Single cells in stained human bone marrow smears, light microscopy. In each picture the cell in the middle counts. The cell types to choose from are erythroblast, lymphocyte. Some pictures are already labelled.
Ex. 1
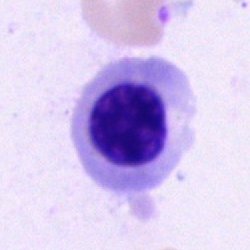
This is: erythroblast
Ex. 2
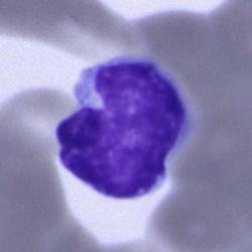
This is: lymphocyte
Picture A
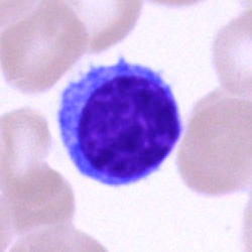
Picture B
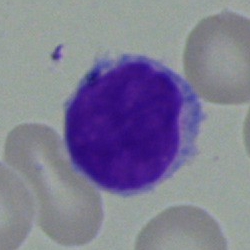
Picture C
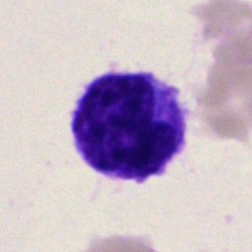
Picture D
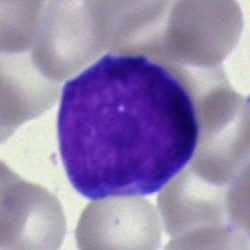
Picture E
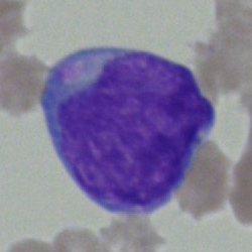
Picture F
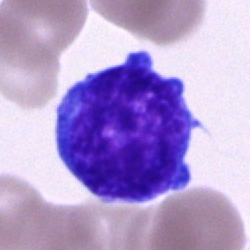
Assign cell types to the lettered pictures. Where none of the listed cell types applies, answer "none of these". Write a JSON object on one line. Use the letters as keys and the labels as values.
{"A": "lymphocyte", "B": "lymphocyte", "C": "lymphocyte", "D": "none of these", "E": "none of these", "F": "none of these"}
